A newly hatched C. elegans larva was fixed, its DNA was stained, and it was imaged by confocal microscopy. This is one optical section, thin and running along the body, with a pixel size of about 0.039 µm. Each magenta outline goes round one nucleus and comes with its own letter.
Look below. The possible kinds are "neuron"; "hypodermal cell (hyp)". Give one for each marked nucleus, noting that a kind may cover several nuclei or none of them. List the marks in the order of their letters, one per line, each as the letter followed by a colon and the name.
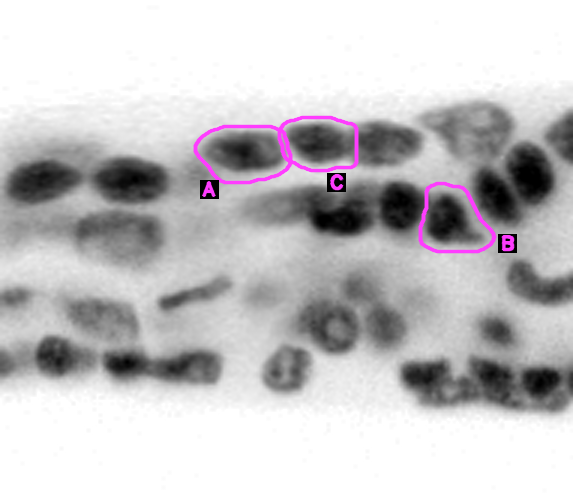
A: hypodermal cell (hyp)
B: neuron
C: hypodermal cell (hyp)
